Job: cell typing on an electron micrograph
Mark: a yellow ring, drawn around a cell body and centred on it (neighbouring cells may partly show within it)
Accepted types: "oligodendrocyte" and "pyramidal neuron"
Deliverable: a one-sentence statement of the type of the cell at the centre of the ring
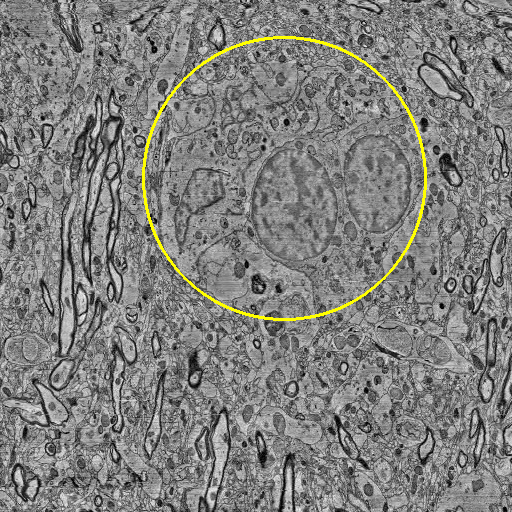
The centred cell body is that of an oligodendrocyte.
